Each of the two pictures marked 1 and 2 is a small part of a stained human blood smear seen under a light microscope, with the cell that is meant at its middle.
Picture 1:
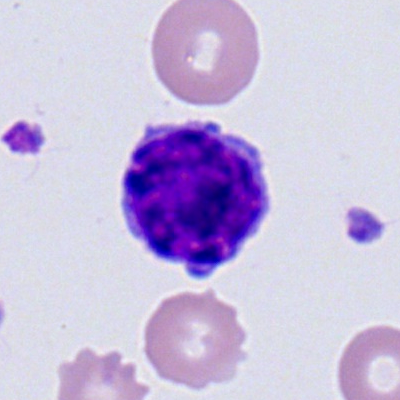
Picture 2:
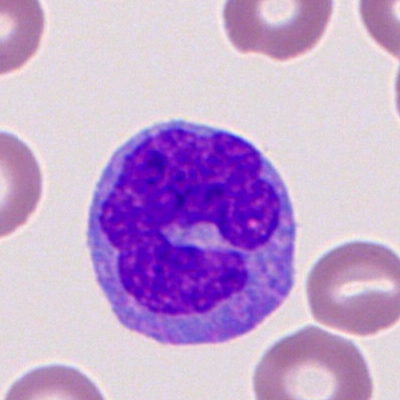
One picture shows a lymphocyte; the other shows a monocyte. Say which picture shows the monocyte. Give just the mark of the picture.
2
